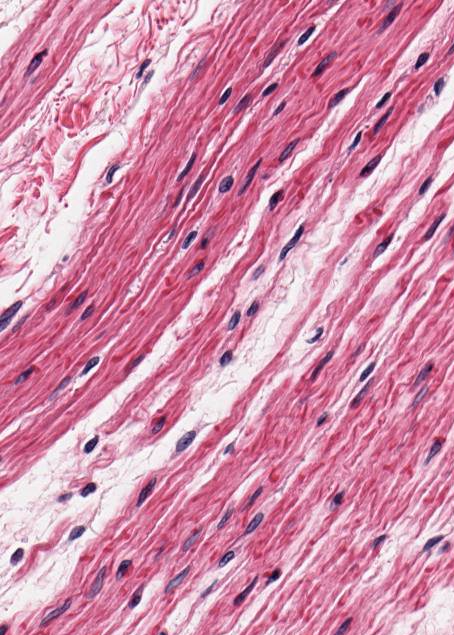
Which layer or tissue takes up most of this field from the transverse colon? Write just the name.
smooth muscle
